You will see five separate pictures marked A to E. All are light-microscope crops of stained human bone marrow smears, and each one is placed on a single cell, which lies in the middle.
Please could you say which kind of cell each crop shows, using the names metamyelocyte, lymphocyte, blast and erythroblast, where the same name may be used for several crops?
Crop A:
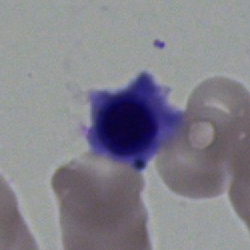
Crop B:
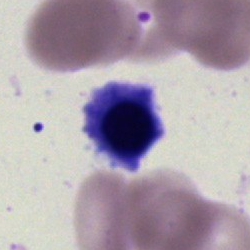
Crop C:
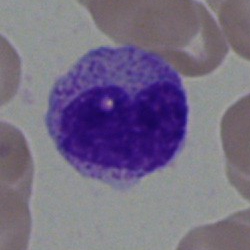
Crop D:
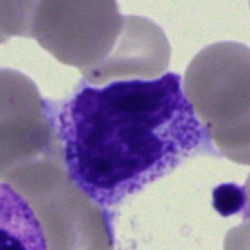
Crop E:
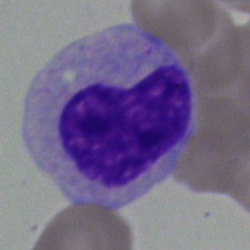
A: erythroblast
B: erythroblast
C: metamyelocyte
D: metamyelocyte
E: metamyelocyte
